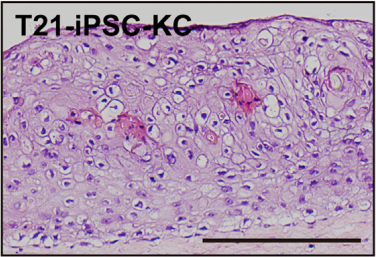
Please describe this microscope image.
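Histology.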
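The epithelial cells are polygonal, with round purple nuclei and pale, almost clear cytoplasm, so the cell outlines stand out like a network. Scattered through the thickness are small pink, compact areas of more densely stained cells. Toward the surface the cells become flatter and form a thin covering layer. Beneath the epithelium the matrix is faintly stained, with only a few scattered nuclei.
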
